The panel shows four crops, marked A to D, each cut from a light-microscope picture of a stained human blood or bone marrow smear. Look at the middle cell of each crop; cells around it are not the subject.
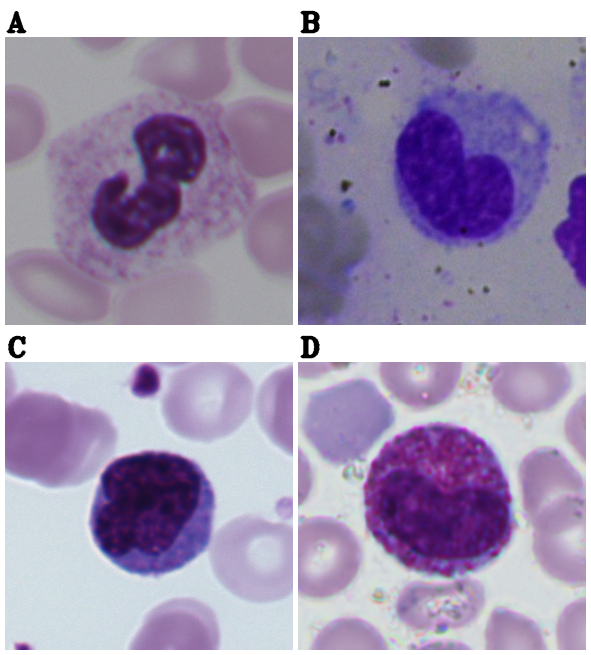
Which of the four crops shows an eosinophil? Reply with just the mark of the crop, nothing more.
D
